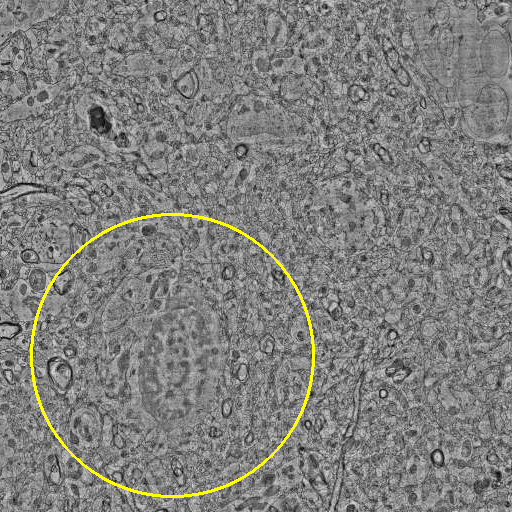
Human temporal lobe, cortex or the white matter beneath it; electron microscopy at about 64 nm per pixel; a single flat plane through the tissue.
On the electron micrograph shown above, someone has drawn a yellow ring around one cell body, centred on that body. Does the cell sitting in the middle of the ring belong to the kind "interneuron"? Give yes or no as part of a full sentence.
No, the cell located in the middle of the ring in the micrograph is of a different kind.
